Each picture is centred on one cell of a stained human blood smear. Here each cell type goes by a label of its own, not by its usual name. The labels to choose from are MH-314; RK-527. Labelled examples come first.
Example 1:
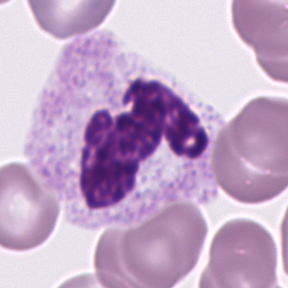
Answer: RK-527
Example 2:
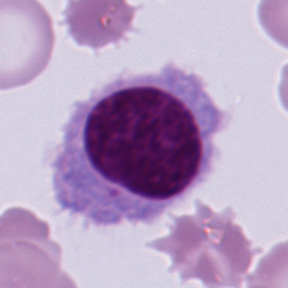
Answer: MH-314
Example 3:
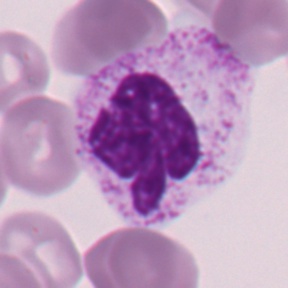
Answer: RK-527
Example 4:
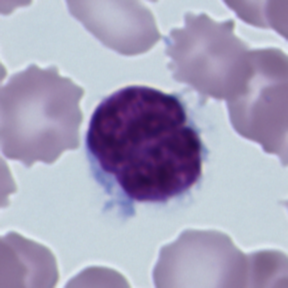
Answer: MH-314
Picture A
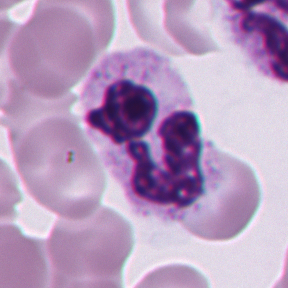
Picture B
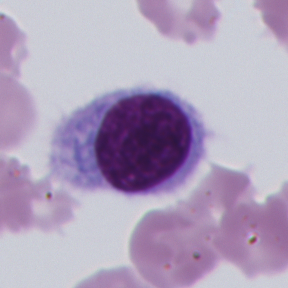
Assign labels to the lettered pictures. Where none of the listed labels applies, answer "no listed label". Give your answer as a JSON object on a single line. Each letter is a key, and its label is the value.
{"A": "RK-527", "B": "MH-314"}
